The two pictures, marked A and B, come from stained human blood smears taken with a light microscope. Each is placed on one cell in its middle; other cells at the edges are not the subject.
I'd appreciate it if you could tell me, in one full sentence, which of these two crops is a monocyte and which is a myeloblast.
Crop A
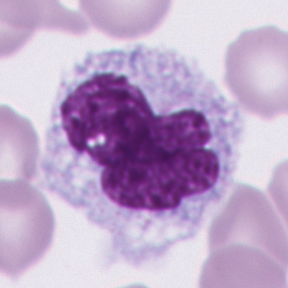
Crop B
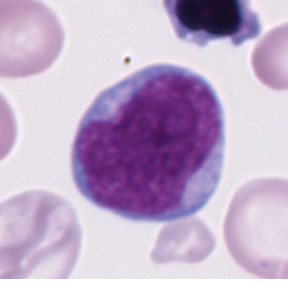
Placed in the middle of crop A is a monocyte, and in the middle of crop B, a myeloblast.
